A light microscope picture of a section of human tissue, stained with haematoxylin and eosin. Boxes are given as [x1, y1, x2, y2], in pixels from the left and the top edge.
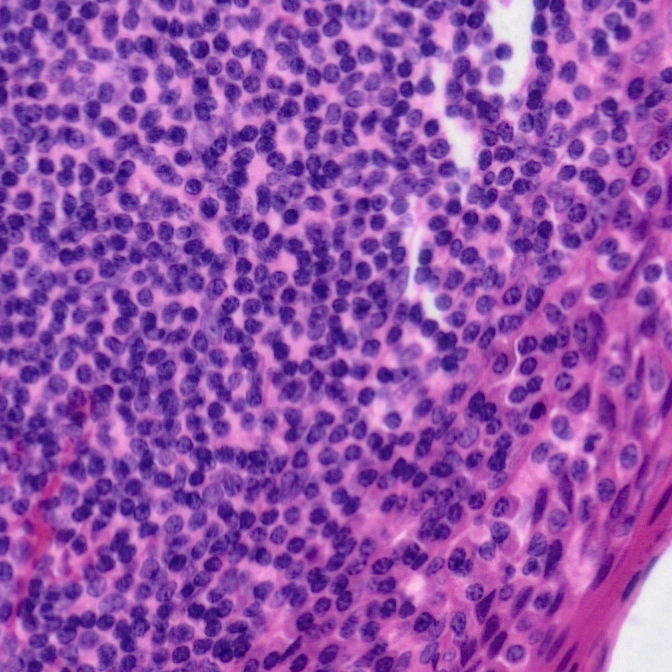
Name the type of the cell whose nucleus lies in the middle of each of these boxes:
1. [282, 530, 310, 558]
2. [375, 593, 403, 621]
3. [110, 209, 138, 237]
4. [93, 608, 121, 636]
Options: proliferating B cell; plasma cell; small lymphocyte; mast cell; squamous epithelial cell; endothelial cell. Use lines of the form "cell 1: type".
cell 1: small lymphocyte
cell 2: plasma cell
cell 3: small lymphocyte
cell 4: small lymphocyte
